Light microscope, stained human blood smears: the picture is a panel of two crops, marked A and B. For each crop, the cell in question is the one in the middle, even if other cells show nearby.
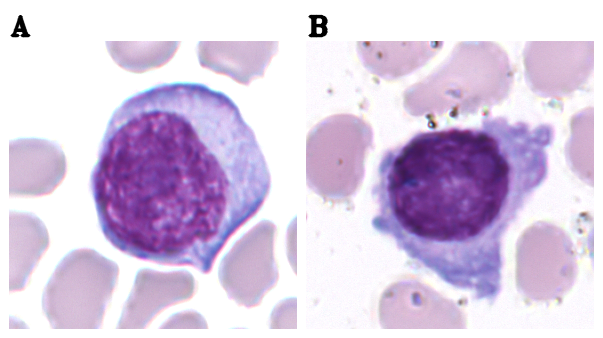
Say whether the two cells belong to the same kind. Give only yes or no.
yes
